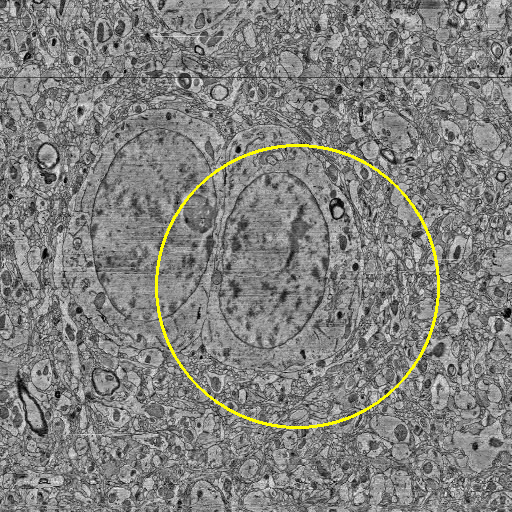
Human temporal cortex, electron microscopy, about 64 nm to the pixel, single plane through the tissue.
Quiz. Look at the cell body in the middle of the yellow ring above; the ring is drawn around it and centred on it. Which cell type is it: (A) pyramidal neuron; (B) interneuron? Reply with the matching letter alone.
A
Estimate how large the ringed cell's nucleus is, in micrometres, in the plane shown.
In this plane the nucleus is clearly longer than it is wide: roughly 12 by 7 micrometres.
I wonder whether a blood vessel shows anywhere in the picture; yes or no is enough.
No, none shows.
